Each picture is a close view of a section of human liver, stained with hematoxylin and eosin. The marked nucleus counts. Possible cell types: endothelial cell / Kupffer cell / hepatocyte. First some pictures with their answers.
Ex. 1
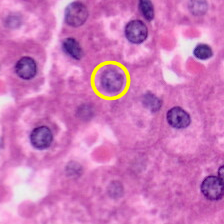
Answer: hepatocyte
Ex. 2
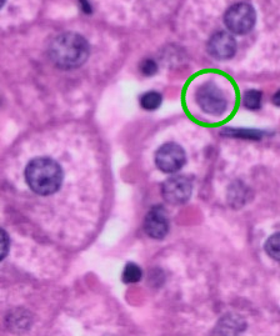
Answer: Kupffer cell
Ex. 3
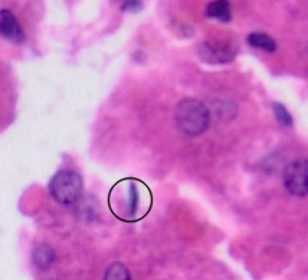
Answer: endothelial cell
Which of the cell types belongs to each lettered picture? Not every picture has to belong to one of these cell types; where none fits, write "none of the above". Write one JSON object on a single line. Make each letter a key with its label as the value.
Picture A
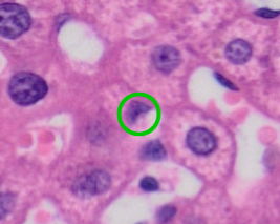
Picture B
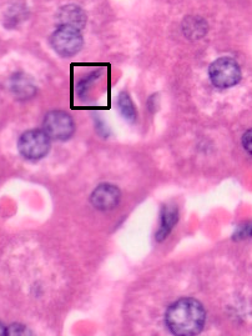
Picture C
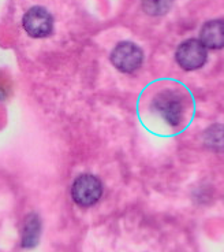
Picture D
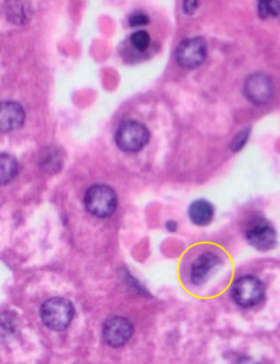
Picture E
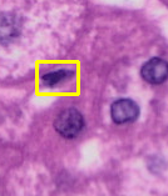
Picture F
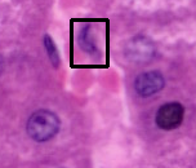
{"A": "endothelial cell", "B": "none of the above", "C": "endothelial cell", "D": "Kupffer cell", "E": "endothelial cell", "F": "Kupffer cell"}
